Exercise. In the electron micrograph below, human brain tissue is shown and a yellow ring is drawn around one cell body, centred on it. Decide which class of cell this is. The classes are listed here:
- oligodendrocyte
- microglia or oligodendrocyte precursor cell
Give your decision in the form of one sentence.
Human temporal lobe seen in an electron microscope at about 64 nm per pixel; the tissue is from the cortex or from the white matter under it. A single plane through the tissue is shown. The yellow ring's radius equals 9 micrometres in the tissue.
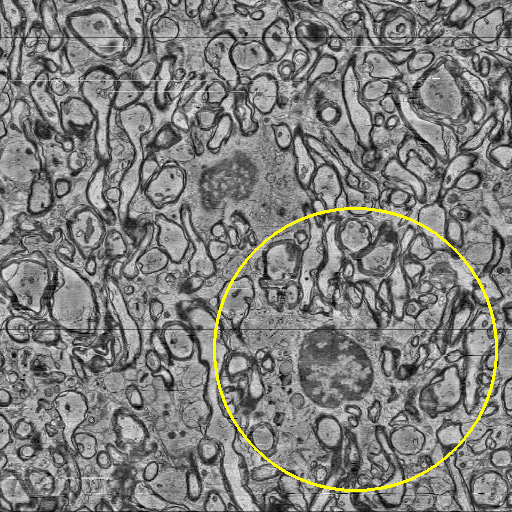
The cell body marked by the ring belongs to a microglial cell or oligodendrocyte precursor cell.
